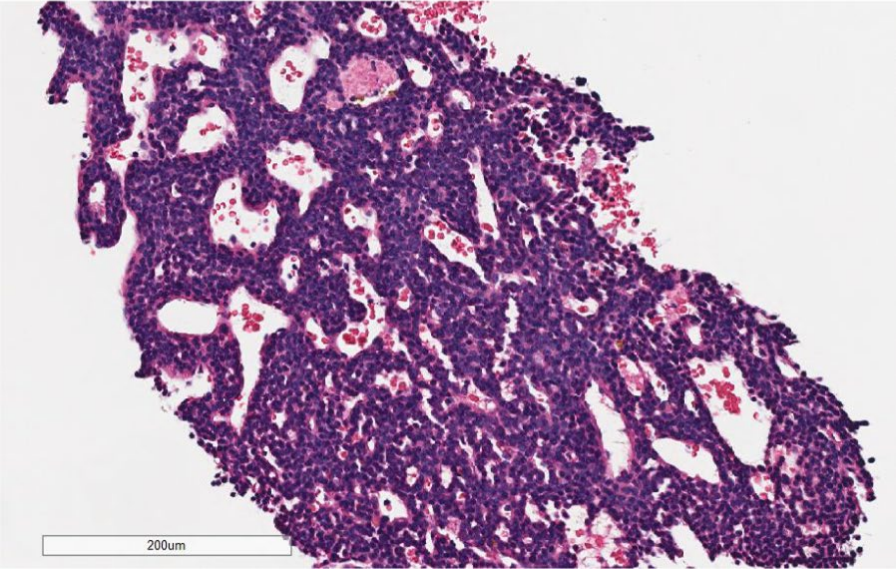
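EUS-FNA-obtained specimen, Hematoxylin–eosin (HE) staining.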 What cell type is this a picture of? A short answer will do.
small, round-to-oval tumor cells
